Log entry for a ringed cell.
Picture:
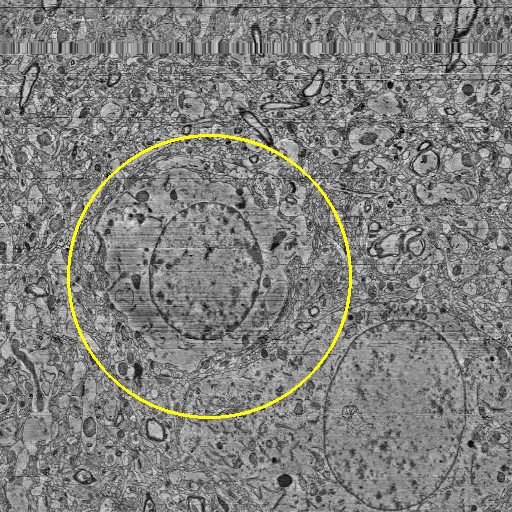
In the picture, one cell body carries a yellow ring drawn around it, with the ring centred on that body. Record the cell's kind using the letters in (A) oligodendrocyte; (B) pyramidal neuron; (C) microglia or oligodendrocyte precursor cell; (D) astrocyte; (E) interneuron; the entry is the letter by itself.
D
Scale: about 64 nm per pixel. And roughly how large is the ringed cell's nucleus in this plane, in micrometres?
In this plane the nucleus is about 9 micrometres by 7.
